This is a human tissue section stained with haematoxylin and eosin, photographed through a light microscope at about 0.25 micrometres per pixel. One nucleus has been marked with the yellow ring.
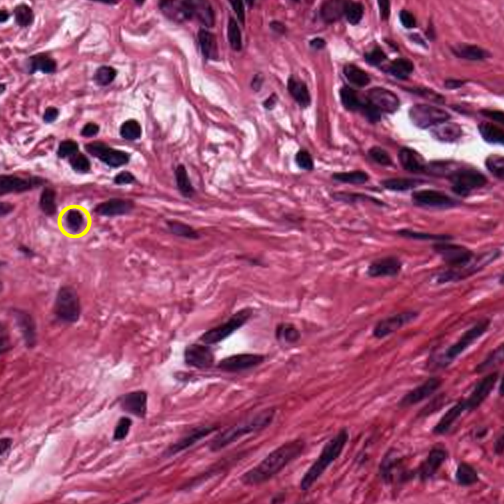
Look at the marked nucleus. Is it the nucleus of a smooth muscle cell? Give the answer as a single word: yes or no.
no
